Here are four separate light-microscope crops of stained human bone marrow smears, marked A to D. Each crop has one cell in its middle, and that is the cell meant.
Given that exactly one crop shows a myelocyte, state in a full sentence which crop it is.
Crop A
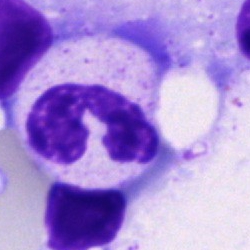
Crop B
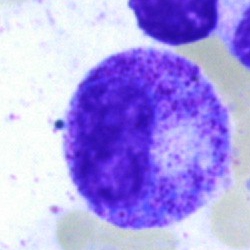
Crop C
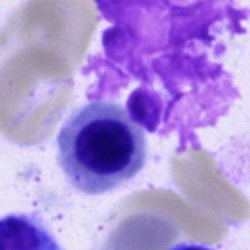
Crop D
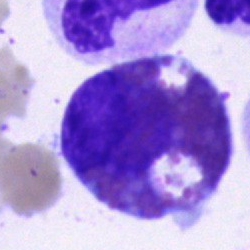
Crop B is the crop in which a myelocyte is shown.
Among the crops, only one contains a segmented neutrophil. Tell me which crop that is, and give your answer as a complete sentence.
Crop A is identified as the crop showing a segmented neutrophil.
